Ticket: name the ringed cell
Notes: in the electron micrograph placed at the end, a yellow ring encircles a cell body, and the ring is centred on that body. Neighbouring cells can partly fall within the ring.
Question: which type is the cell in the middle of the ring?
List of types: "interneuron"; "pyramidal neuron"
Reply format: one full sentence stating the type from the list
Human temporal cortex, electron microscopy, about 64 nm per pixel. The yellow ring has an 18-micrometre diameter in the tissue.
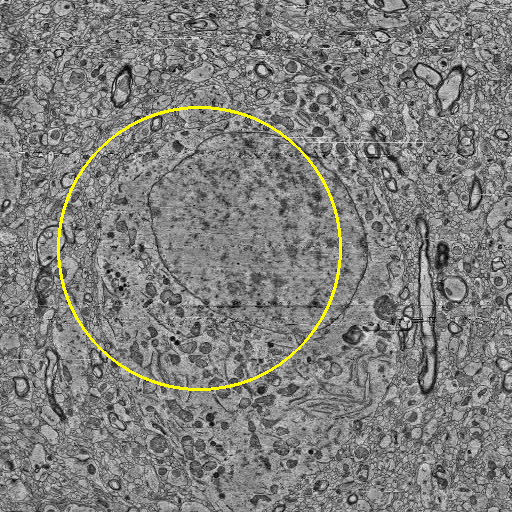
The cell sitting at the centre of the yellow ring is an interneuron.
